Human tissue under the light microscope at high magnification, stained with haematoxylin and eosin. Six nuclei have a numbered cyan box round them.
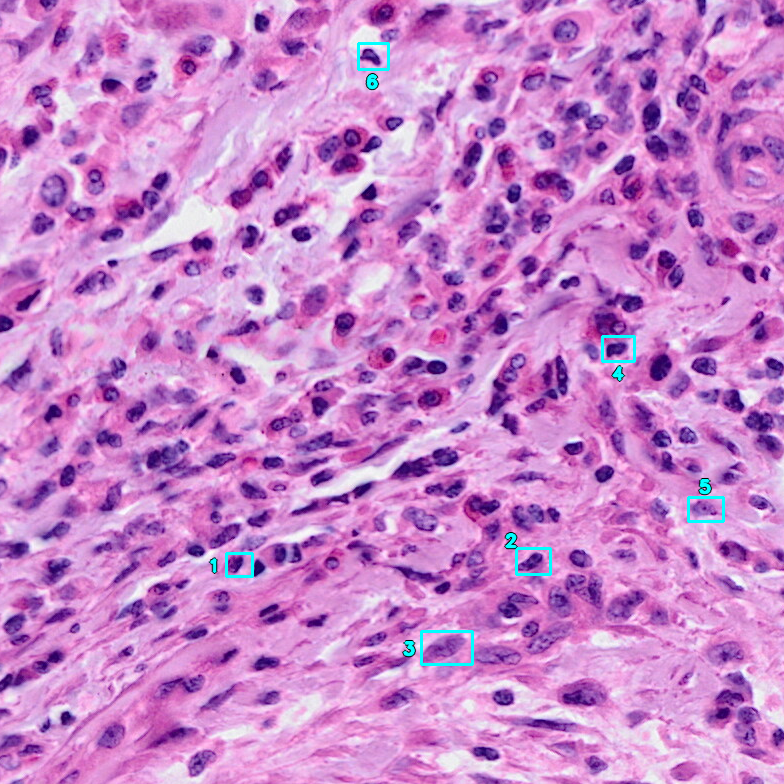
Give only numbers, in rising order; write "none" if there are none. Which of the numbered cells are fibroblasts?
3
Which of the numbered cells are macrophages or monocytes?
5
